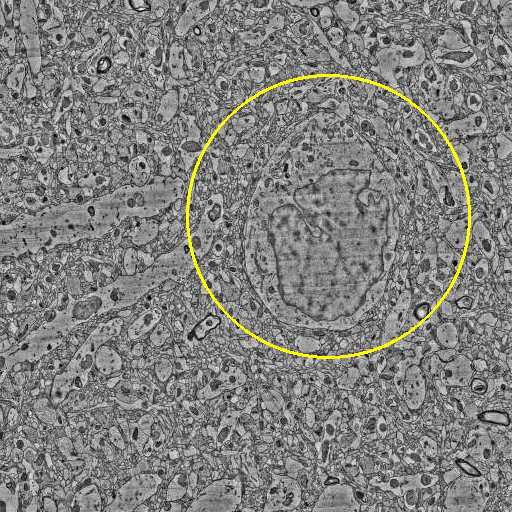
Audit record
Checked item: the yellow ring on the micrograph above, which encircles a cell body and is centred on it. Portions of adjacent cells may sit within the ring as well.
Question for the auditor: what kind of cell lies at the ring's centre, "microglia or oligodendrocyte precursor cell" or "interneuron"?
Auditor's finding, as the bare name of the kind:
interneuron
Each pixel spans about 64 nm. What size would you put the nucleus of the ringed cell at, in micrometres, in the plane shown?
The ringed cell's nucleus is about 10 micrometres long and 8 micrometres wide in this plane.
